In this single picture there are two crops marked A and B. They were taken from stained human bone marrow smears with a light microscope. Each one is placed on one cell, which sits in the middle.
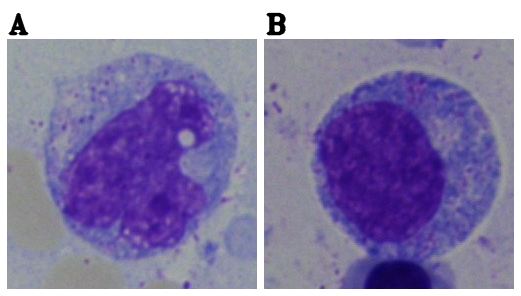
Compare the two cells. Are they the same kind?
no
